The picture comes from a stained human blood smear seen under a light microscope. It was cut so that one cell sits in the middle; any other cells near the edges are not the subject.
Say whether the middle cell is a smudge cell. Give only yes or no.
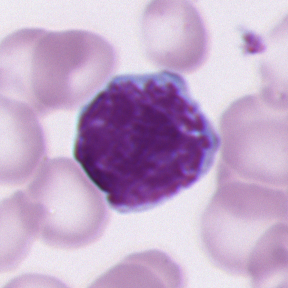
no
